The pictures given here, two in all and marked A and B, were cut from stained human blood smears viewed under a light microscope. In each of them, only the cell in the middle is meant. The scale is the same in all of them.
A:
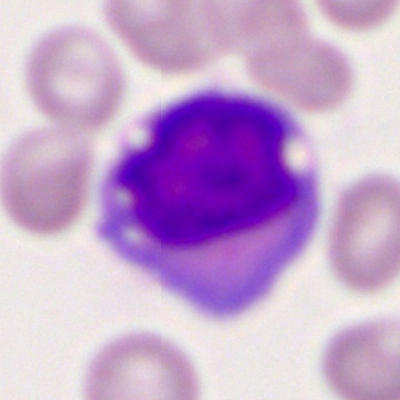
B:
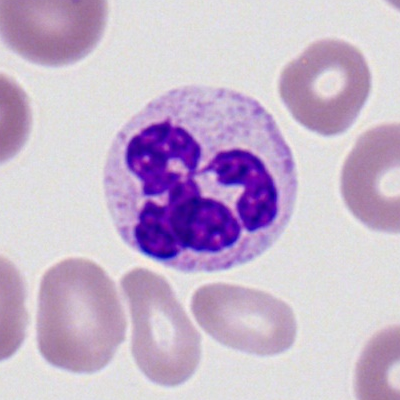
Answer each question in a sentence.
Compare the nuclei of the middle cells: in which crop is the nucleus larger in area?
The nucleus in picture A is larger, with about 1.5 times the area of the one in picture B.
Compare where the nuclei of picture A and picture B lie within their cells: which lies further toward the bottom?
Seen within its cell, the nucleus in picture B lies further toward the bottom.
